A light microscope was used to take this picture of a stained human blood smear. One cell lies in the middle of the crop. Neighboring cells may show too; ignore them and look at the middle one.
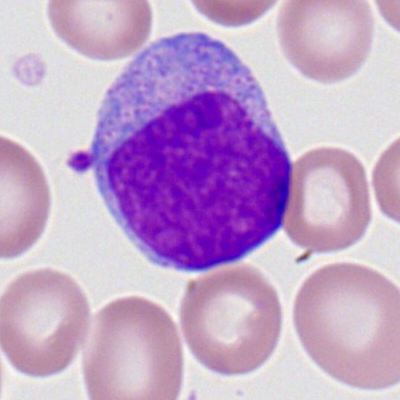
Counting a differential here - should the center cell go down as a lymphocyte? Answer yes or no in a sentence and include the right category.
No, the central cell is a myeloblast; it should not be labelled a lymphocyte.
